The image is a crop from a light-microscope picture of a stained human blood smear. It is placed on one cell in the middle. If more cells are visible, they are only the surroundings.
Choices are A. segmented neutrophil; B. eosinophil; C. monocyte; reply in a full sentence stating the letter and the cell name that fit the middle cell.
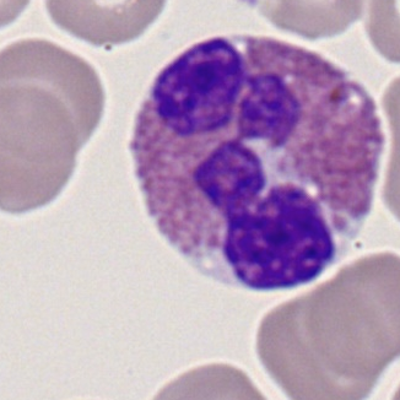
The correct identification, given in option B, is that the central cell is an eosinophil.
